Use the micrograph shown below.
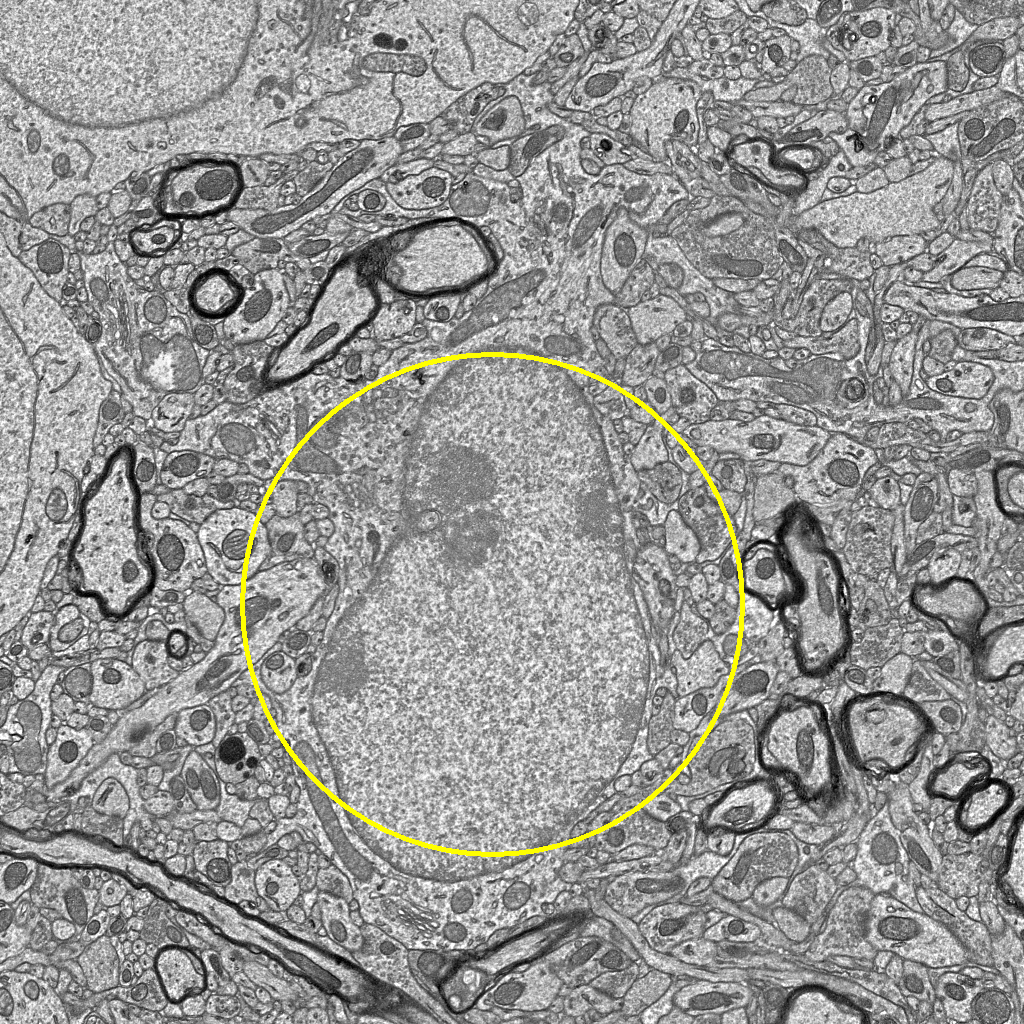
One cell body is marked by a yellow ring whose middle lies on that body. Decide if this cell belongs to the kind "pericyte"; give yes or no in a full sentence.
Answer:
No, the cell at the ring's middle in the micrograph is of another kind.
